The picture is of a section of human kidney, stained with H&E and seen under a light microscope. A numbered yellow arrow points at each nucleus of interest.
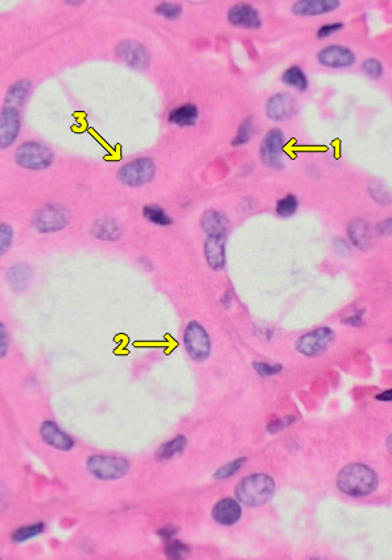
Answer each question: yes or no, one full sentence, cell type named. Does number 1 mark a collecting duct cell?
Yes, the numbered nucleus 1 is that of a collecting duct cell.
